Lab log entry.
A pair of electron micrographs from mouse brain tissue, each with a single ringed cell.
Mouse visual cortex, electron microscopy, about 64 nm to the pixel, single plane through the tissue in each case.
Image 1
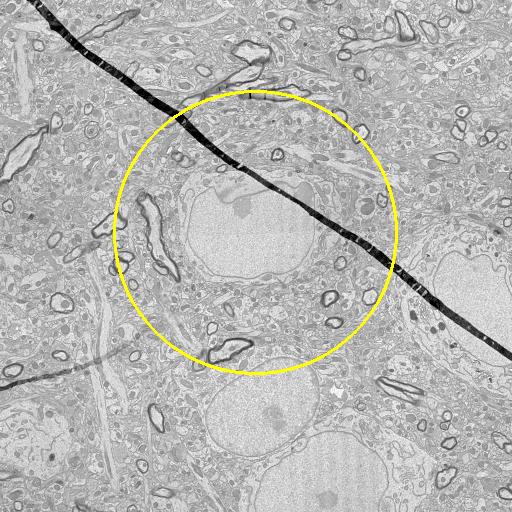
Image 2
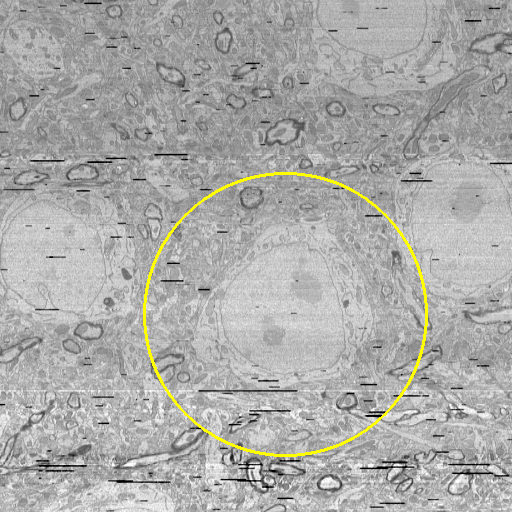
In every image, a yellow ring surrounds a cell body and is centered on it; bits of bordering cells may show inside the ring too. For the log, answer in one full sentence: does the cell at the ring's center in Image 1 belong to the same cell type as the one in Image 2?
Yes, the cells at the ring centers in Image 1 and Image 2 share one type.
